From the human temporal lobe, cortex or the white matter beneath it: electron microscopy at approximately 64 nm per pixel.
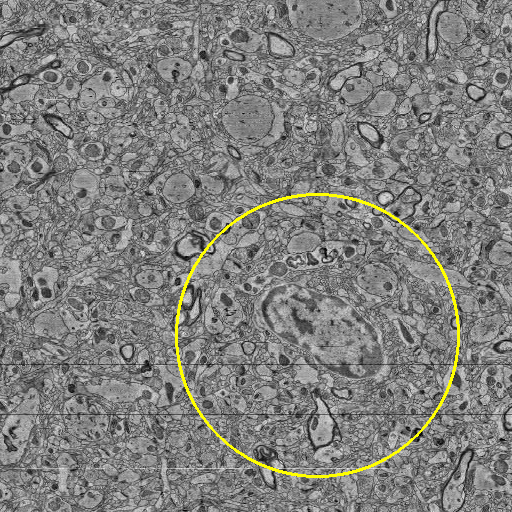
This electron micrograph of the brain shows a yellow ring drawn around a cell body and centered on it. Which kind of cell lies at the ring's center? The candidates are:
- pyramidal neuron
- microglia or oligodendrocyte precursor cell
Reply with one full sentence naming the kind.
The cell lying at the ring's center in this micrograph is a microglial cell or oligodendrocyte precursor cell.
